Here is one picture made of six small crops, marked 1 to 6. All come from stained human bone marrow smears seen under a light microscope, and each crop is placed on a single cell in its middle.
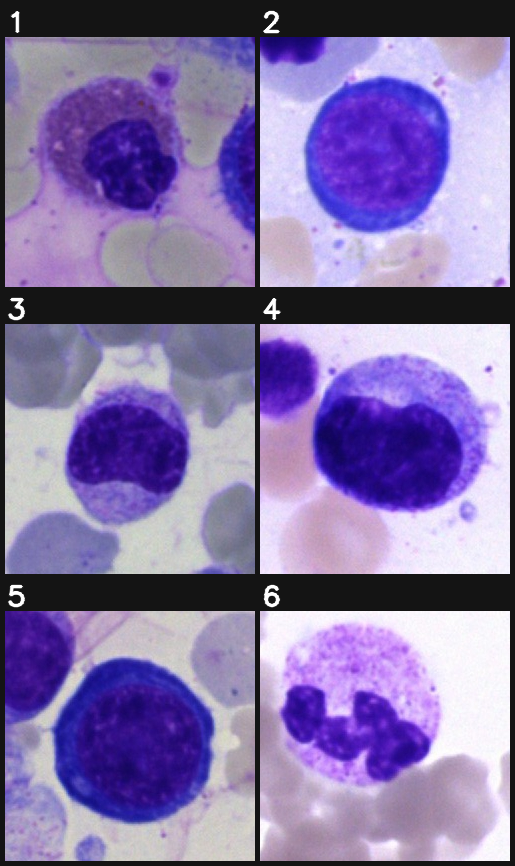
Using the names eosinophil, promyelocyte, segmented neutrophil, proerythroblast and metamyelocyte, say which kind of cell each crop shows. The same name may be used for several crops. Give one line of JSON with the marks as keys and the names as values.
{"1": "eosinophil", "2": "proerythroblast", "3": "metamyelocyte", "4": "promyelocyte", "5": "proerythroblast", "6": "segmented neutrophil"}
